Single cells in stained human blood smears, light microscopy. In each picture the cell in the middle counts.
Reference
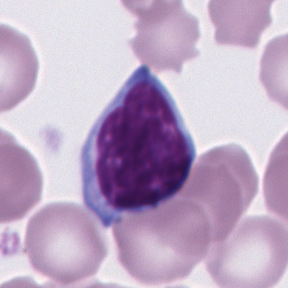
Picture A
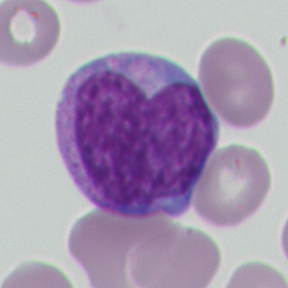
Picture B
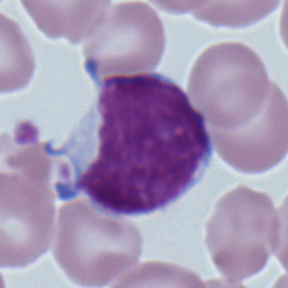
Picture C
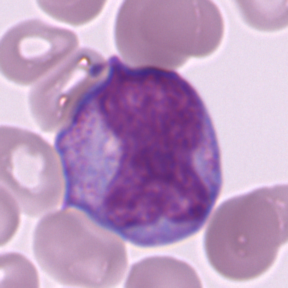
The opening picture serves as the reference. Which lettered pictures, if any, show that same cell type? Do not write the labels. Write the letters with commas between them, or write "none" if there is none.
B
